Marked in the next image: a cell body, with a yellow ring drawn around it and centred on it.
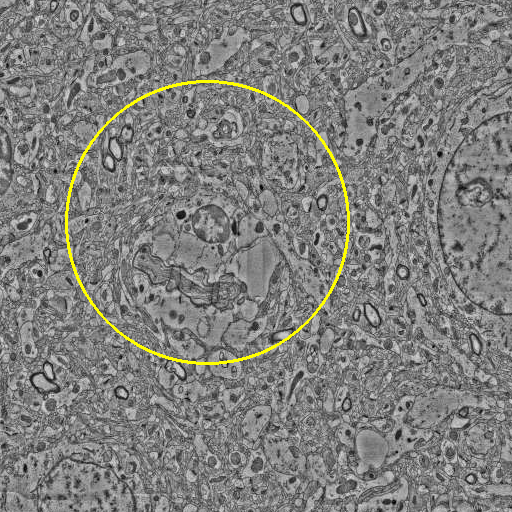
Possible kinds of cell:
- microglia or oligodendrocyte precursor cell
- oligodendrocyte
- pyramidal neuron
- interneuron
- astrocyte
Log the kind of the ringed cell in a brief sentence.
The ringed cell body is that of a microglial cell or oligodendrocyte precursor cell.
